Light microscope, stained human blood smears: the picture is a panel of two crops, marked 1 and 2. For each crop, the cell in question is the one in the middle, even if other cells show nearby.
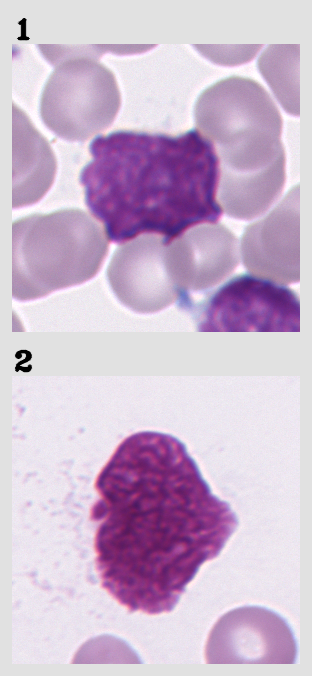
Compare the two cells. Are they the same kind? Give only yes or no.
yes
